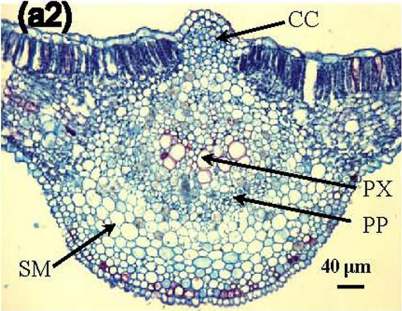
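Transverse section through a leaf midrib, with the lamina running off at both sides and a large rounded bulge on the lower side. Beneath a small ridge on the upper surface lies a cluster of small, tightly packed rounded collenchyma cells. At the centre lies the vascular strand, with several wide rounded xylem vessels whose walls stain reddish and smaller phloem cells below them. The rest of the bulge is filled with large, rounded, thin-walled pale cells, while the adjoining lamina shows a row of tall, dark blue palisade cells under the upper epidermis.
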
